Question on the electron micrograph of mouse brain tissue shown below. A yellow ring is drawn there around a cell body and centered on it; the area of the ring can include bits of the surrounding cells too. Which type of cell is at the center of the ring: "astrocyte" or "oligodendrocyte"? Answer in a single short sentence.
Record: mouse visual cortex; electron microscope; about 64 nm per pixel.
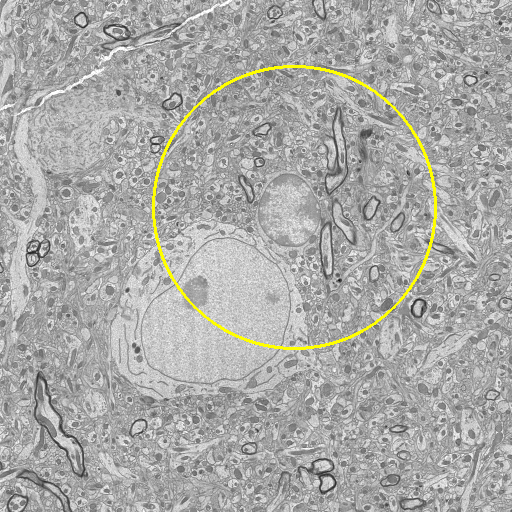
The ring is centered on an oligodendrocyte.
